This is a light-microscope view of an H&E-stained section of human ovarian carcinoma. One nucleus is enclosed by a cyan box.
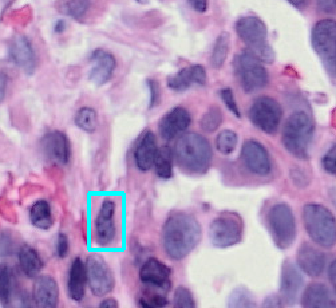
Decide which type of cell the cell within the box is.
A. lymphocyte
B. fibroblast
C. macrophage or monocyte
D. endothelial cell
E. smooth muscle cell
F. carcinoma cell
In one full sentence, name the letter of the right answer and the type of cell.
The correct option, C, describes the cell within the box as a macrophage or monocyte.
